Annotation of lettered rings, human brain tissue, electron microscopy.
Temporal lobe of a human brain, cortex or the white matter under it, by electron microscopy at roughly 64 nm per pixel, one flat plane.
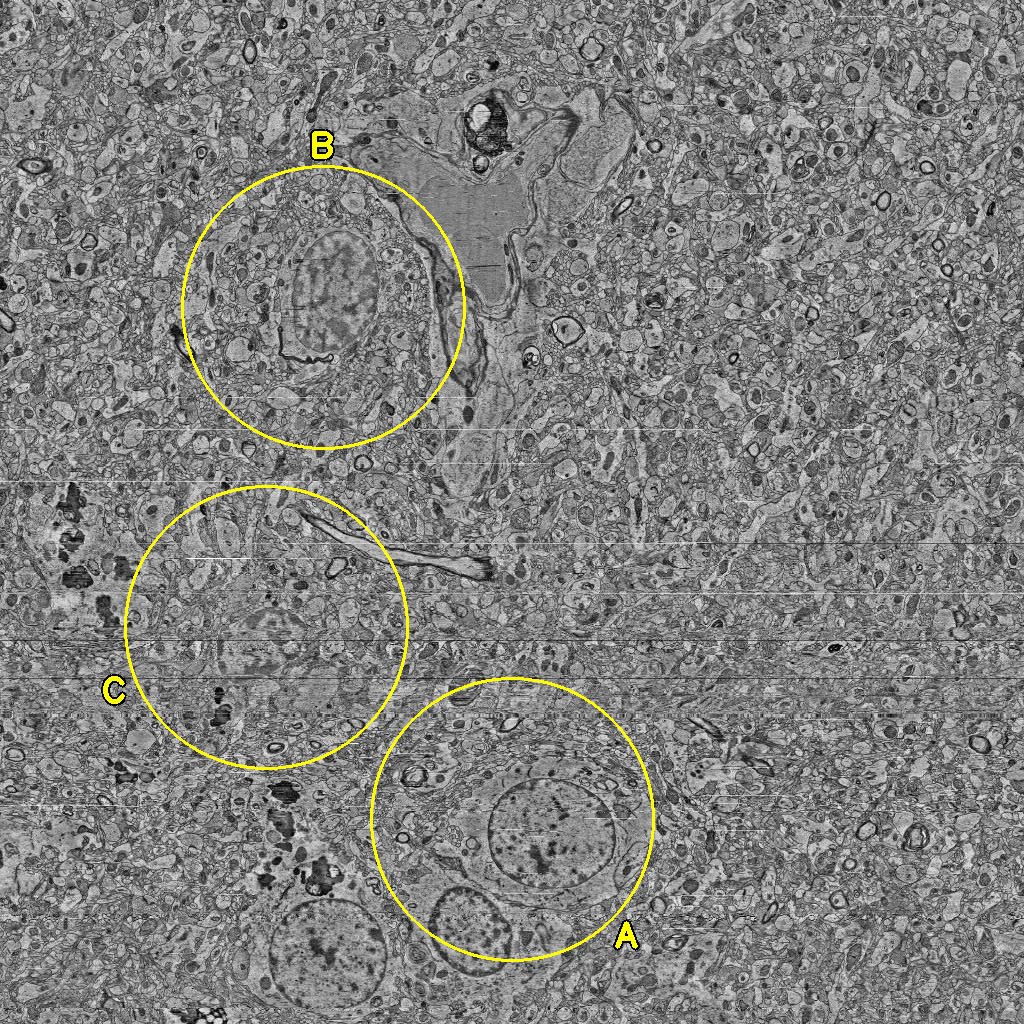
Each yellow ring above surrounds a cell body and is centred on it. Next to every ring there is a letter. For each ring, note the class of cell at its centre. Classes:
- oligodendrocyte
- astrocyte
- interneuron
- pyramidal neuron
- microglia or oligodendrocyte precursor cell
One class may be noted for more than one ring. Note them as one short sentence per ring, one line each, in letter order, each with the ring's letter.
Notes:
The class noted at ring A is an astrocyte.
The class noted at ring B is an oligodendrocyte.
The class noted at ring C is a microglial cell or oligodendrocyte precursor cell.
